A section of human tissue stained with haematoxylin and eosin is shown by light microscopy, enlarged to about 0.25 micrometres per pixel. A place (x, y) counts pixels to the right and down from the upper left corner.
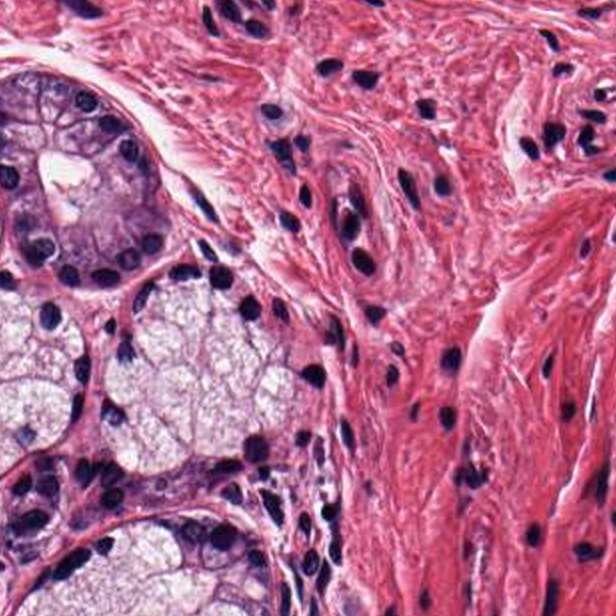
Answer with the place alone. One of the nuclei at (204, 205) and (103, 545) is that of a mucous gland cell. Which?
(103, 545)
